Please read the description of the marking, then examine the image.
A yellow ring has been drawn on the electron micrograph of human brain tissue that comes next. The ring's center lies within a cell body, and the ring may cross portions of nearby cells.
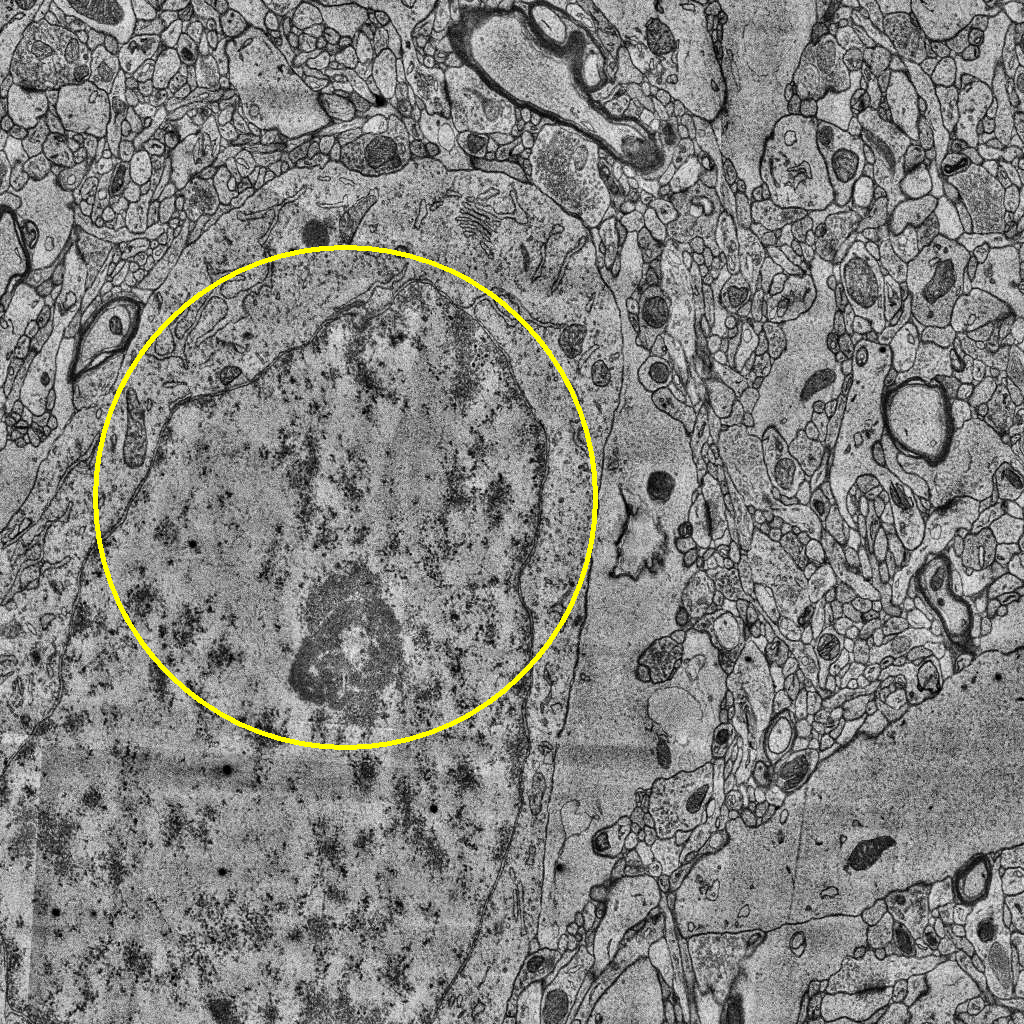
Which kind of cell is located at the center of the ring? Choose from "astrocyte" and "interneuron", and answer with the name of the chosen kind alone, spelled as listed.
interneuron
